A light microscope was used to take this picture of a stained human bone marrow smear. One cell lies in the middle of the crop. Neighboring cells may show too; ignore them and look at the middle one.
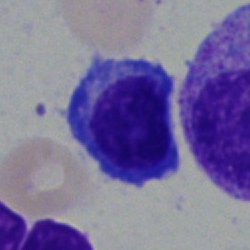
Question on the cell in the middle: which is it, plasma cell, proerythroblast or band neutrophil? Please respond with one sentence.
This crop's central cell is a plasma cell.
